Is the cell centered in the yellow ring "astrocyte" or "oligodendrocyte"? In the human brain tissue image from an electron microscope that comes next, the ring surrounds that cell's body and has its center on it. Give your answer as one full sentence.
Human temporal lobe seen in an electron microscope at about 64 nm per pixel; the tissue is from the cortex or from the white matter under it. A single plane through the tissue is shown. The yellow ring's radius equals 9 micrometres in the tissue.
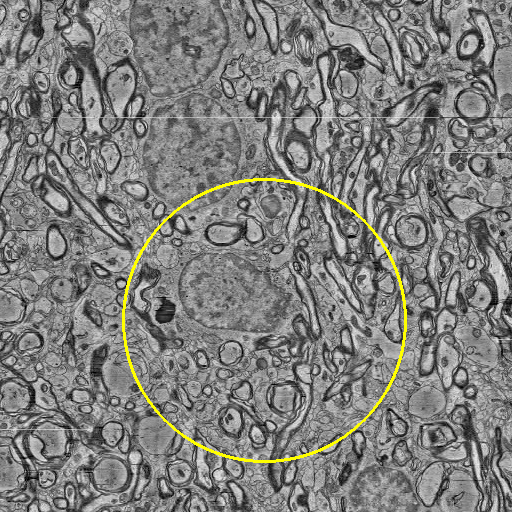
The cell at the center of the yellow ring is an oligodendrocyte in the micrograph.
